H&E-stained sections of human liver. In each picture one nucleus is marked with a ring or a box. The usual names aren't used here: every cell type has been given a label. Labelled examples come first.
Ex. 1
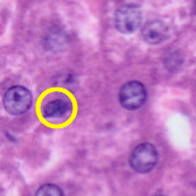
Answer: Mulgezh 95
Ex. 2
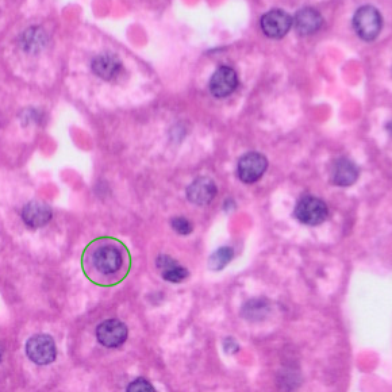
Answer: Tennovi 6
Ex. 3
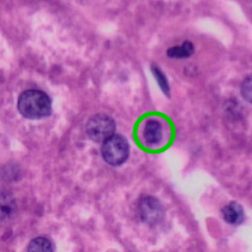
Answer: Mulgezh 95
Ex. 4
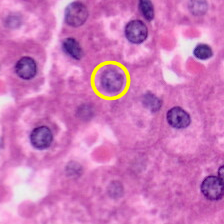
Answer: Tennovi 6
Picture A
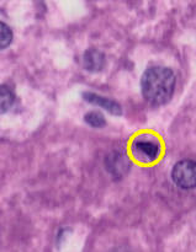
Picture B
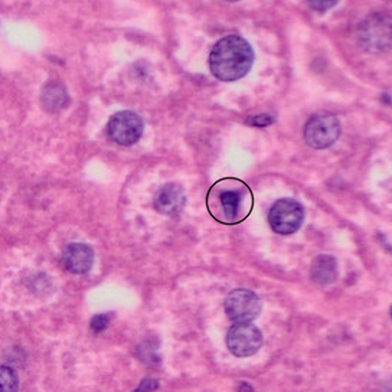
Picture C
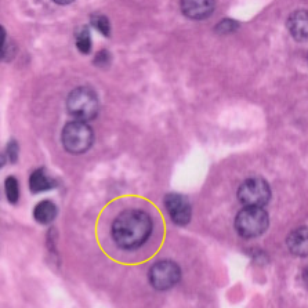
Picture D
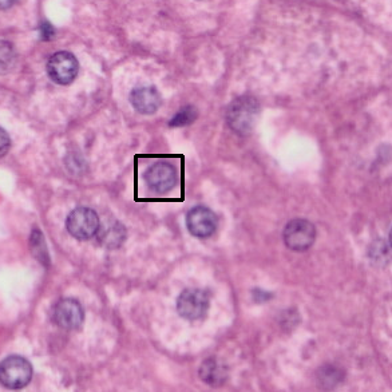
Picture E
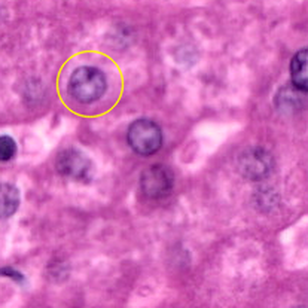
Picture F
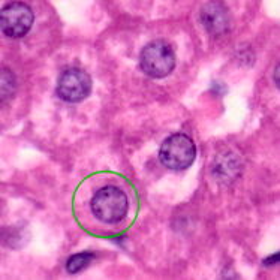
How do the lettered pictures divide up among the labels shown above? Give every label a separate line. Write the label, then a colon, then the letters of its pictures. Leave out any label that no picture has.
Mulgezh 95: A, B
Tennovi 6: C, D, E, F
